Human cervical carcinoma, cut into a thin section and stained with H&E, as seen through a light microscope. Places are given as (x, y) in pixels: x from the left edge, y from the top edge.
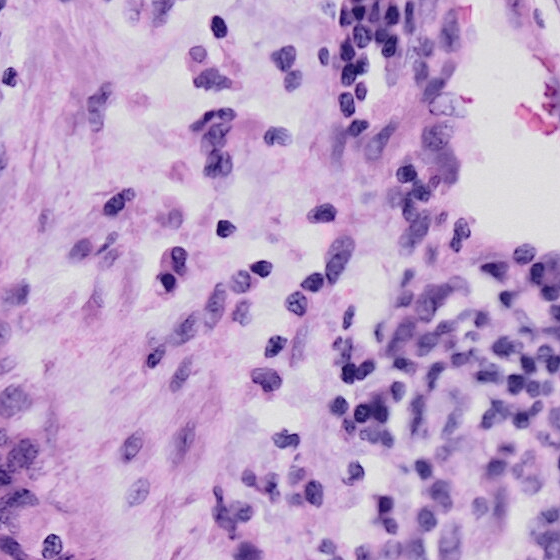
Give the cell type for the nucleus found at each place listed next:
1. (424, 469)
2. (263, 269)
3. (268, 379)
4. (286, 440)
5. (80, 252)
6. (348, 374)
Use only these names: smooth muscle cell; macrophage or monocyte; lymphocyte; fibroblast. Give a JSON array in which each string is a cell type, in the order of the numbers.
["lymphocyte", "lymphocyte", "macrophage or monocyte", "lymphocyte", "fibroblast", "lymphocyte"]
